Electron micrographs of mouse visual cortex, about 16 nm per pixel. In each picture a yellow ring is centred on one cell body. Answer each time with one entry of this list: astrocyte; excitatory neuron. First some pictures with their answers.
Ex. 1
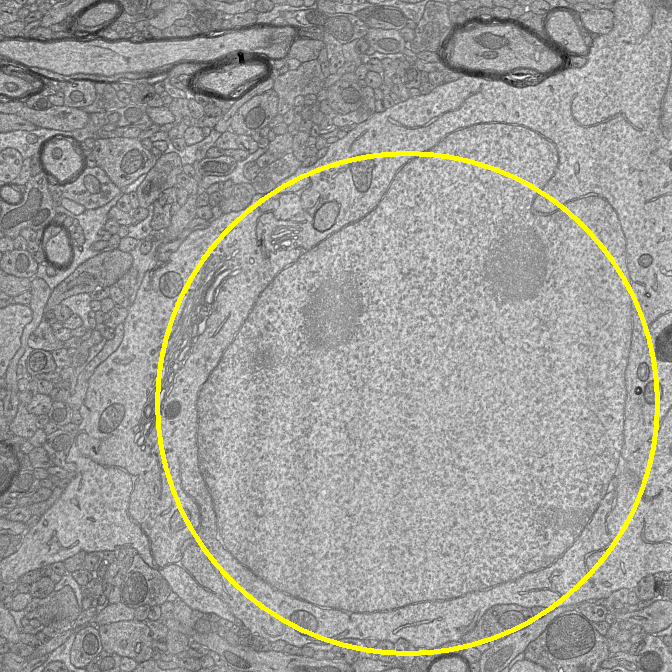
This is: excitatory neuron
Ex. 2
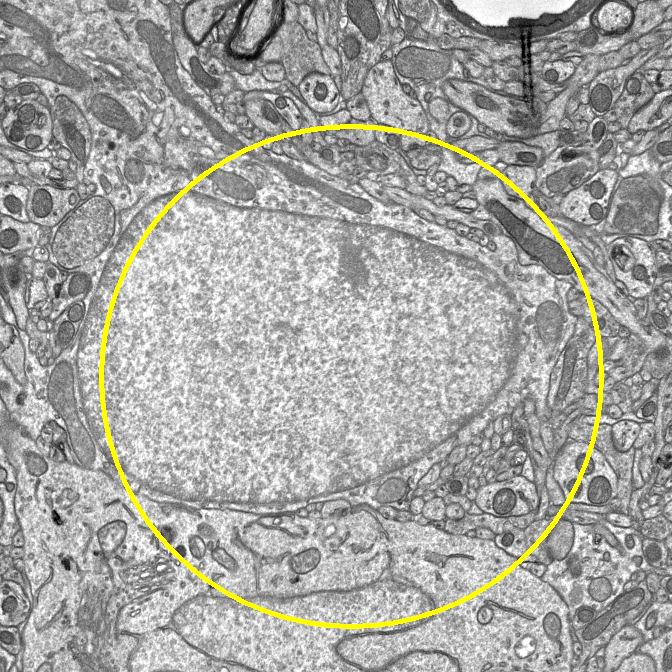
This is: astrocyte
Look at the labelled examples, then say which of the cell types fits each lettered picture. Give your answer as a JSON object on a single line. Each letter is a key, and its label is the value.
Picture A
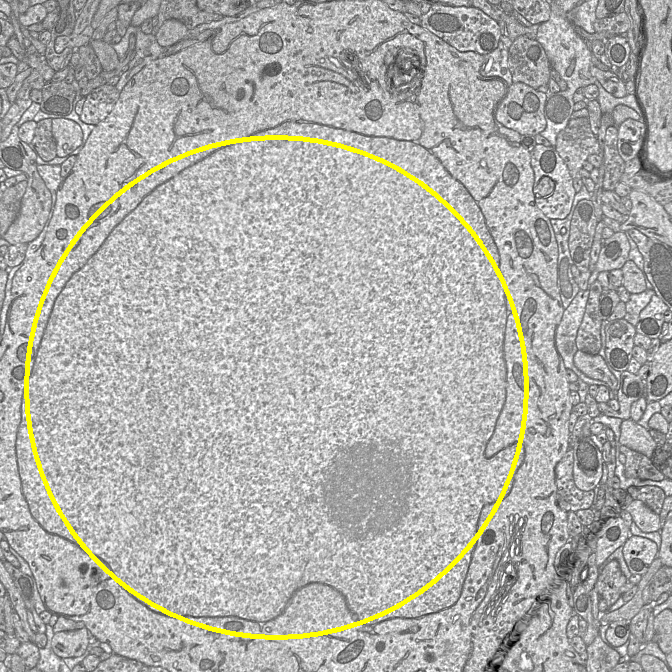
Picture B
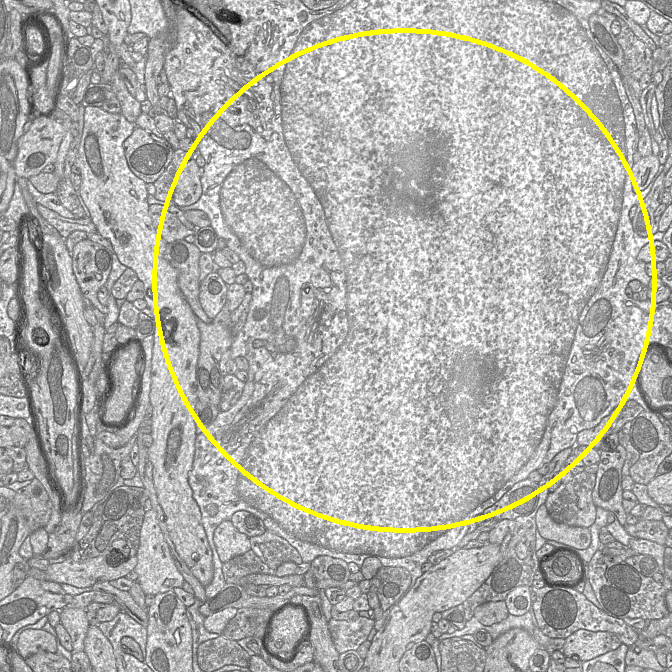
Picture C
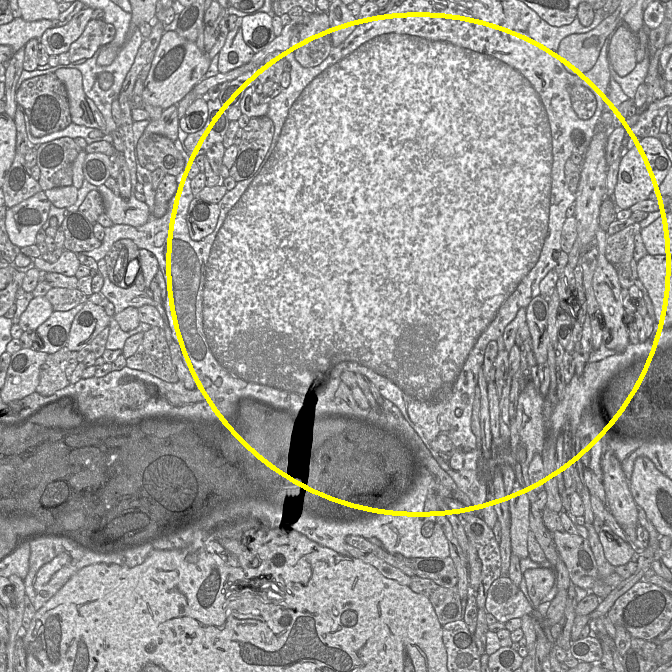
{"A": "excitatory neuron", "B": "astrocyte", "C": "astrocyte"}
